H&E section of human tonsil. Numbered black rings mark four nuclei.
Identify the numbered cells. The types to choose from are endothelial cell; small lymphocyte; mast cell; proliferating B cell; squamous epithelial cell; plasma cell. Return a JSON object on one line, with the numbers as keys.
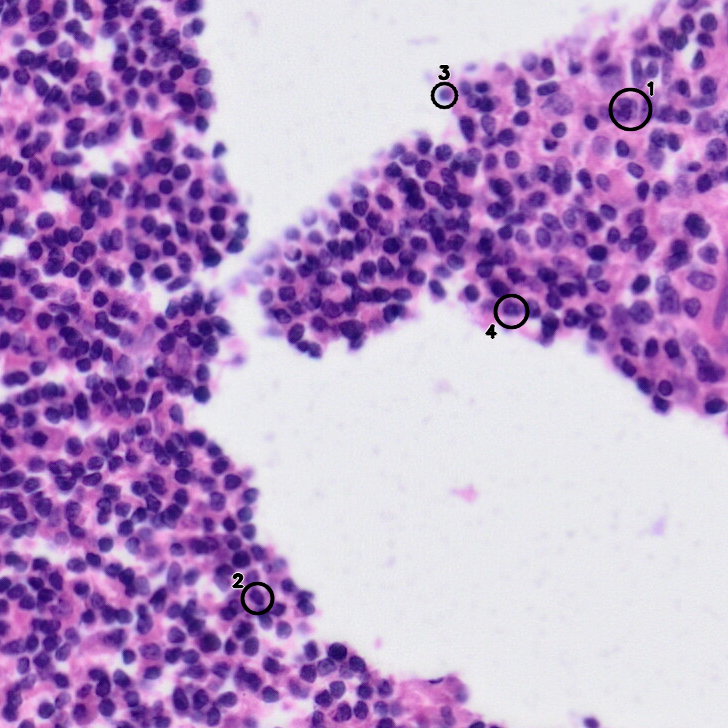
{"1": "proliferating B cell", "2": "small lymphocyte", "3": "small lymphocyte", "4": "small lymphocyte"}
